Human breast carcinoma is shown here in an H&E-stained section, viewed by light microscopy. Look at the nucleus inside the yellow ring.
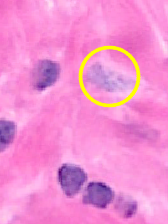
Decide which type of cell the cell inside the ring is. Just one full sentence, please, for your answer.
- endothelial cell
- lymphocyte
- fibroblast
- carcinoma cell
In this tissue sample, the cell inside the ring is a fibroblast.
